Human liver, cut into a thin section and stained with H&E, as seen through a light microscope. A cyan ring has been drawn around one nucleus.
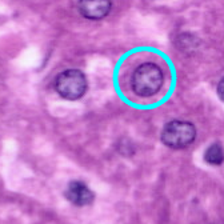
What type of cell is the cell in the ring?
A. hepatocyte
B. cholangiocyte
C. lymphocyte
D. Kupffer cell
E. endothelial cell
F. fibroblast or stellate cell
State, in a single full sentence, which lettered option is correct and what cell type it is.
In this section the cell in the ring is a hepatocyte; option A is therefore correct.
